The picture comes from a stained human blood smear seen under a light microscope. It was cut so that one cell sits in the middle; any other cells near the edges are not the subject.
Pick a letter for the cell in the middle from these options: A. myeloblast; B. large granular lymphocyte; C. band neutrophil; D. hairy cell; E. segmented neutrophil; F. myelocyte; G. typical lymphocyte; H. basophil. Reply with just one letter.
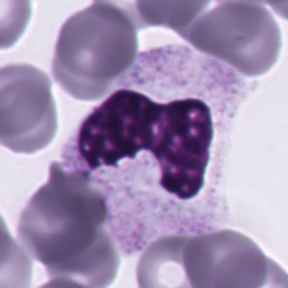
C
